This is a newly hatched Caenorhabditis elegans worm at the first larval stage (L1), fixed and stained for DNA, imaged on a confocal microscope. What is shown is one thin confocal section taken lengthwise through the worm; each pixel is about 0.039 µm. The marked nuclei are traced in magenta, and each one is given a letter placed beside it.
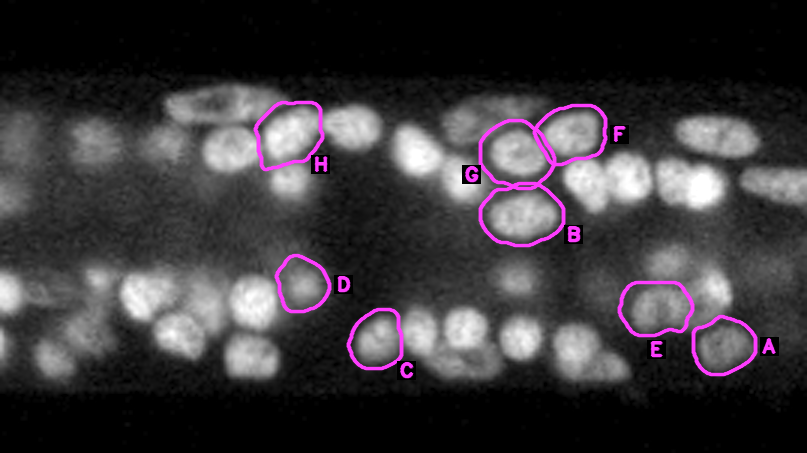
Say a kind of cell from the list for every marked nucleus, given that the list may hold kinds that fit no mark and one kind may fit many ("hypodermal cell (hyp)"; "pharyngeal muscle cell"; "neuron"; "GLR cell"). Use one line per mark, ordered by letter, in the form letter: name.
A: hypodermal cell (hyp)
B: neuron
C: neuron
D: GLR cell
E: pharyngeal muscle cell
F: hypodermal cell (hyp)
G: hypodermal cell (hyp)
H: neuron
